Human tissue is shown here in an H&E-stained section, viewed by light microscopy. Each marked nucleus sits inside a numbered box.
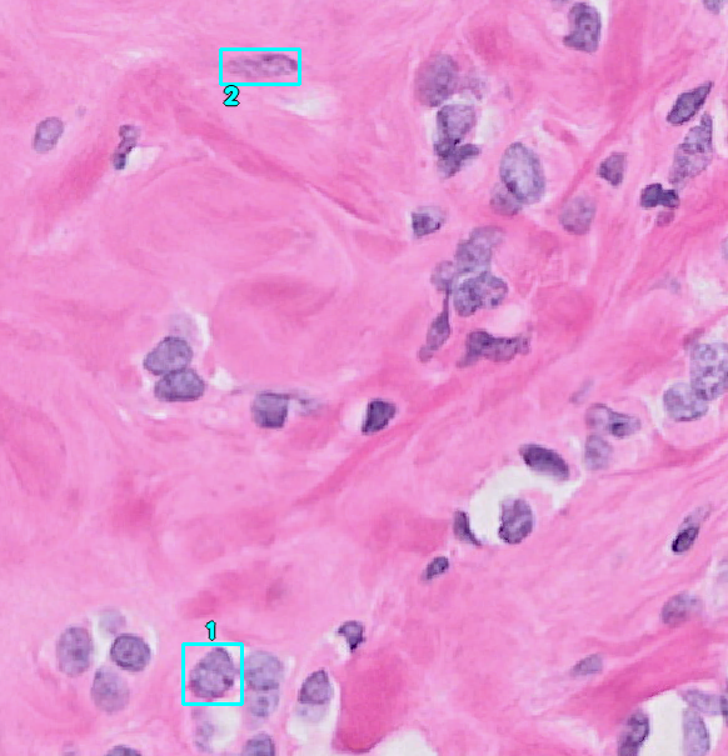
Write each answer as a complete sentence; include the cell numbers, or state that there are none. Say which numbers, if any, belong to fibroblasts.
Among the numbered cells, the one that is a fibroblast is cell 2 alone.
